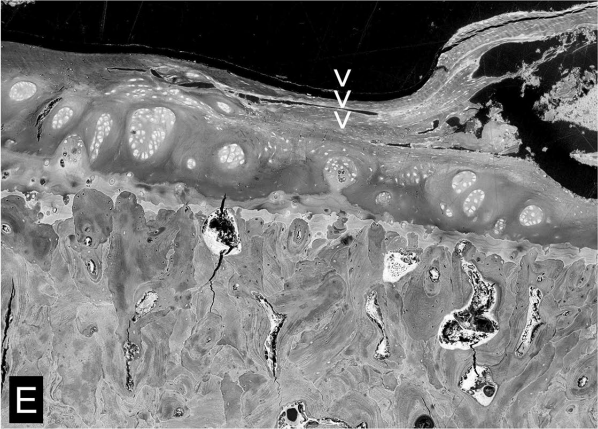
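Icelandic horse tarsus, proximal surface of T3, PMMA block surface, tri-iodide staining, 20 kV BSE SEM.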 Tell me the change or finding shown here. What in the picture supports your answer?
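Large rounded territories in the cartilage each hold several bright cells. The clustered cells lie in a band above the underlying bone. The answer: chondrocyte clones.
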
